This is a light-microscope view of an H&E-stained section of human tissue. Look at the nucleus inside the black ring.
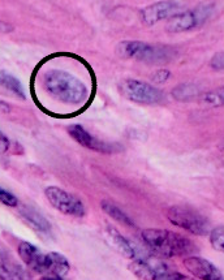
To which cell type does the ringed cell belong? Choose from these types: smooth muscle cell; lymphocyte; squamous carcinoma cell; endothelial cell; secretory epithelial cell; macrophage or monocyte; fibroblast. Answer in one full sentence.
The expected answer is simply that the ringed cell is a macrophage or monocyte.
